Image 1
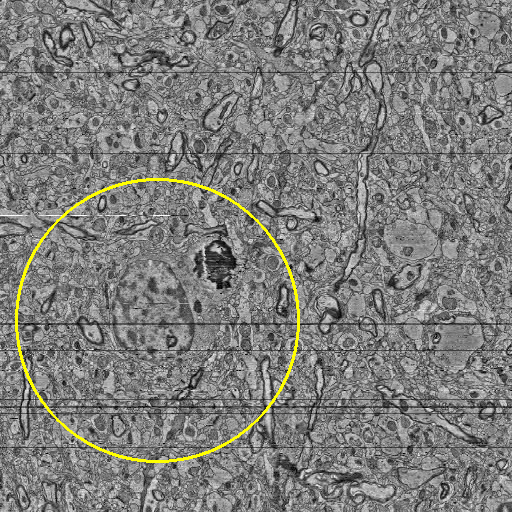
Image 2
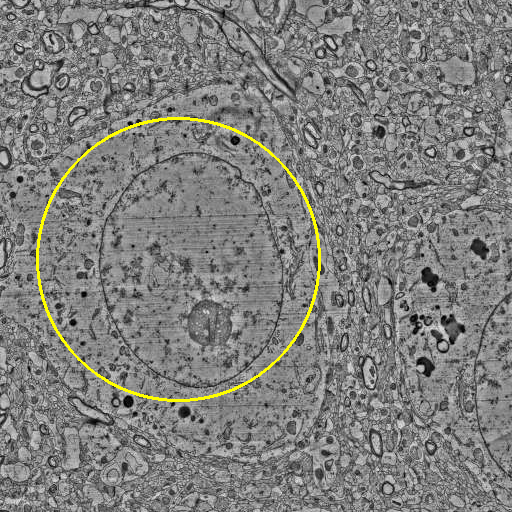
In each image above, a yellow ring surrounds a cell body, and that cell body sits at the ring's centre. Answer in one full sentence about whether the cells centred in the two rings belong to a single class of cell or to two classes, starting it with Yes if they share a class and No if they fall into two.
No, the cells centred in the two yellow rings belong to two classes of cell.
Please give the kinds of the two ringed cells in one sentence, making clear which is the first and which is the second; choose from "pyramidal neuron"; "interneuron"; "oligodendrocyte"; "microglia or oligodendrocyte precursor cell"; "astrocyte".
In the second picture the ringed cell is a pyramidal neuron; in the first it is an oligodendrocyte.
